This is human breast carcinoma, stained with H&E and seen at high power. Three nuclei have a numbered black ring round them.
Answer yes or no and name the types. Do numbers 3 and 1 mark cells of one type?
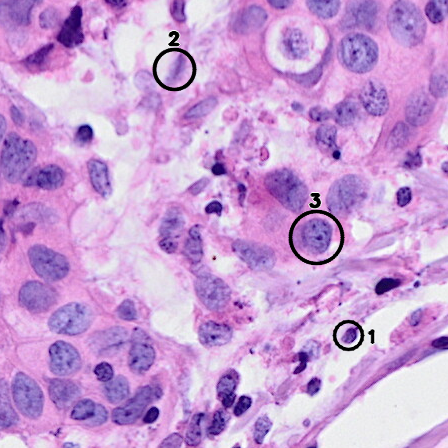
No, cell 3 counts as a carcinoma cell, and cell 1 counts as a lymphocyte.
